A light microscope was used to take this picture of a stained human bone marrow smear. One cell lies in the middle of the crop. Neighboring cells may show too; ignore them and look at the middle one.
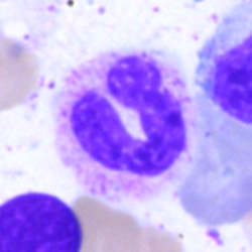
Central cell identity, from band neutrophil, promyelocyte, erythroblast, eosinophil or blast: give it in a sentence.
Classification of the middle cell gives a band neutrophil.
